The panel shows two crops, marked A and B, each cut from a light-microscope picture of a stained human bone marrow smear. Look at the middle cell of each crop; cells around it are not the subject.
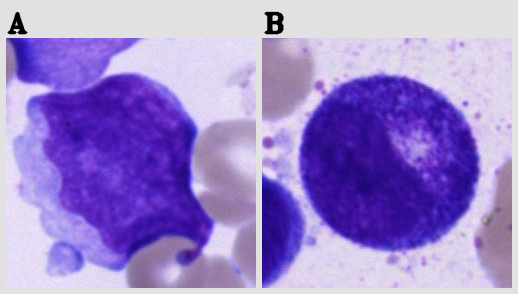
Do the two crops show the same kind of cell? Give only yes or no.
no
